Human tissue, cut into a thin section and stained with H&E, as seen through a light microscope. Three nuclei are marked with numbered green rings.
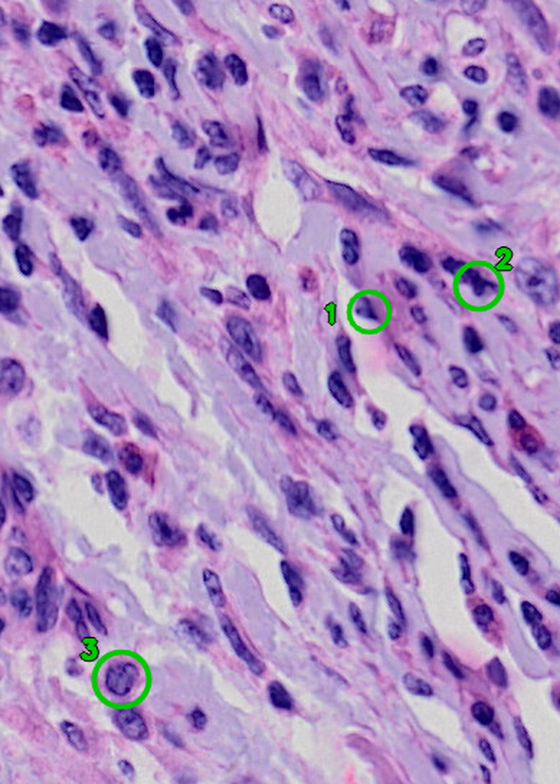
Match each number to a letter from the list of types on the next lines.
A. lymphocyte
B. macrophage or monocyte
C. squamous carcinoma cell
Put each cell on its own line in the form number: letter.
1: A
2: A
3: B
